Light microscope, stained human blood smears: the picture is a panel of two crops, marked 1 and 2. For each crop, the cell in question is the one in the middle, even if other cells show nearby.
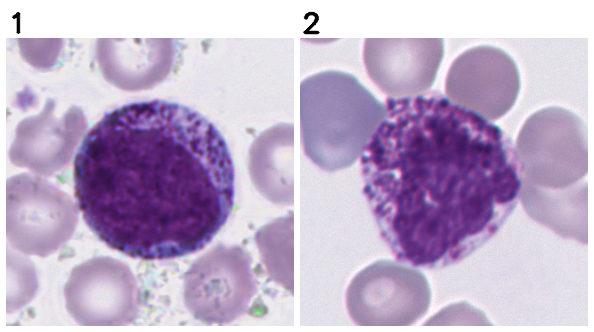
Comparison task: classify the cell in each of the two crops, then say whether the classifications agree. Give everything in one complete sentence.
No, crop 1 shows a promyelocyte and crop 2 a basophil.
